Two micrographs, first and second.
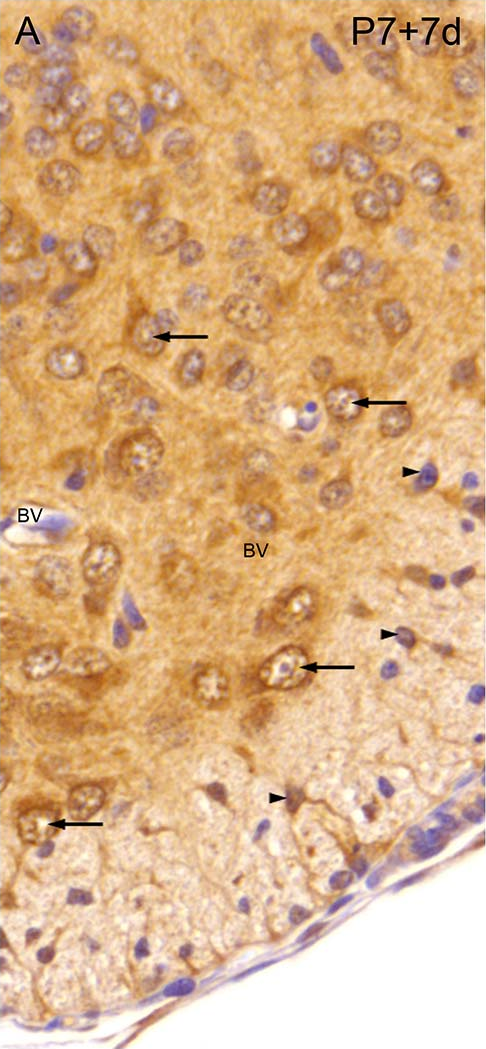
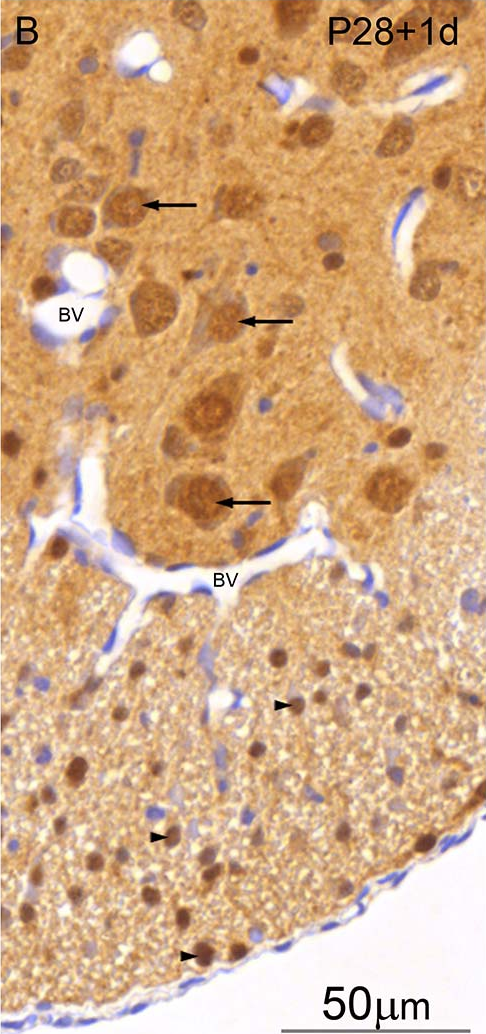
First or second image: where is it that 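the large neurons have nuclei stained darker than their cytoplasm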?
The second image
